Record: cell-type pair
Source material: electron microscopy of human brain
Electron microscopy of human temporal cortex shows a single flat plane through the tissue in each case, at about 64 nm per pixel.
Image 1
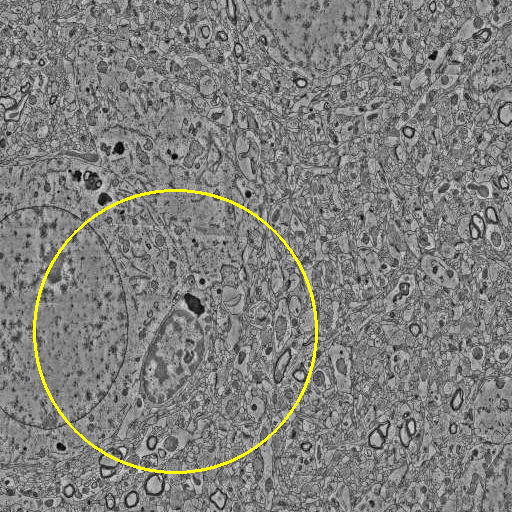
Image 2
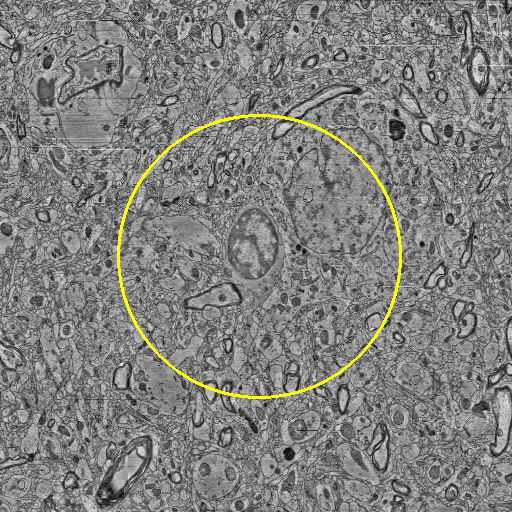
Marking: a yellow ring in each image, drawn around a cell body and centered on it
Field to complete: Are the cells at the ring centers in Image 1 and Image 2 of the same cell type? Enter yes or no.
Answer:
yes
